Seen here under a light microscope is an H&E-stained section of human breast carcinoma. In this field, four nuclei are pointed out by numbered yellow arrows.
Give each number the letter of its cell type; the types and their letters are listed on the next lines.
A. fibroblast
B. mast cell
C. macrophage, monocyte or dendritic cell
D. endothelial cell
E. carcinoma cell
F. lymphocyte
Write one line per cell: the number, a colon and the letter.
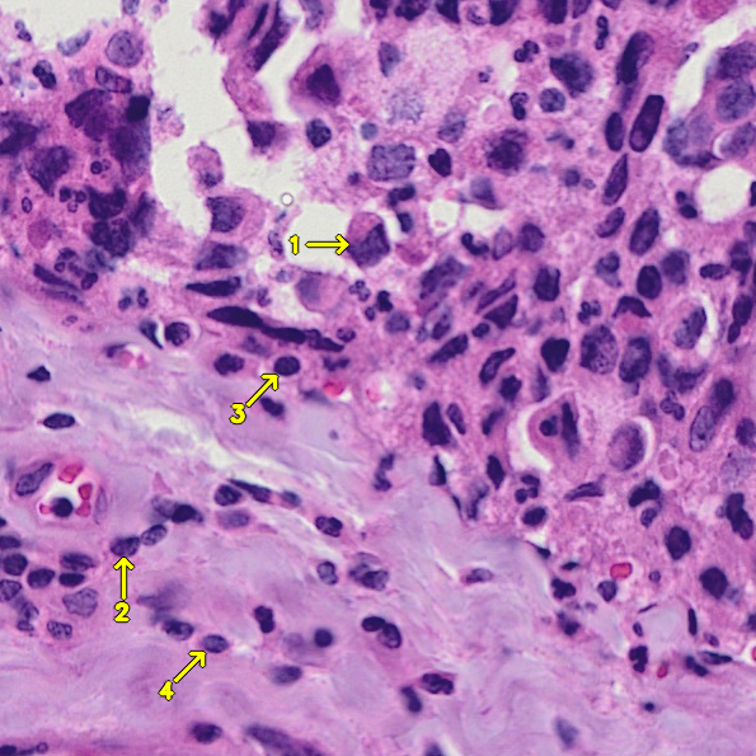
1: E
2: F
3: F
4: B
